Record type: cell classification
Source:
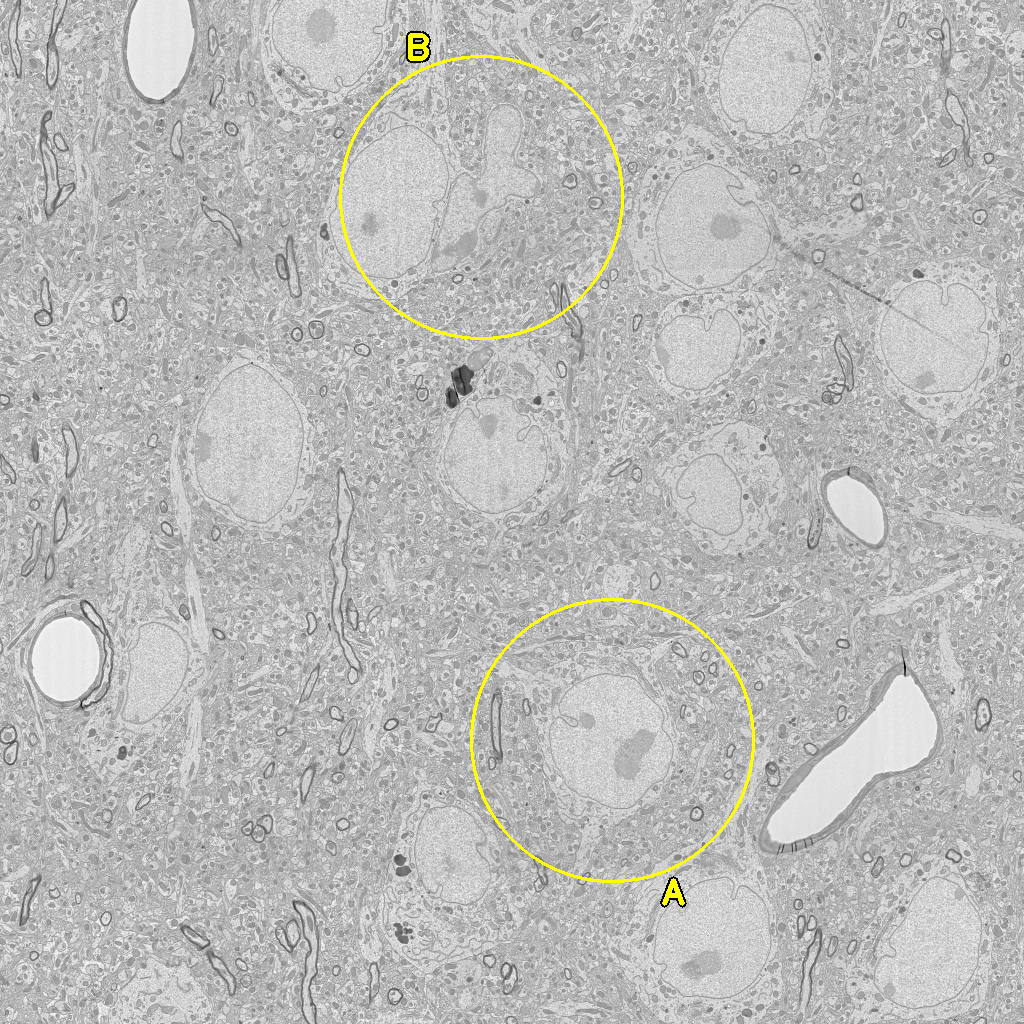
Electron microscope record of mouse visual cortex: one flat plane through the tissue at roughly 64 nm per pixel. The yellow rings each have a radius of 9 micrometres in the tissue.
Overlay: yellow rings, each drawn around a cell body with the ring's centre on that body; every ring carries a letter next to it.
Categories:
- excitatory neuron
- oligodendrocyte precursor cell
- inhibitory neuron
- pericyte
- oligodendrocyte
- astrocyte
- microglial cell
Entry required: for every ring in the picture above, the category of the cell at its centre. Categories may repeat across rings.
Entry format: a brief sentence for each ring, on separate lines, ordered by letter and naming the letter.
At the centre of ring A lies an excitatory neuron.
At the centre of ring B lies an oligodendrocyte precursor cell.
